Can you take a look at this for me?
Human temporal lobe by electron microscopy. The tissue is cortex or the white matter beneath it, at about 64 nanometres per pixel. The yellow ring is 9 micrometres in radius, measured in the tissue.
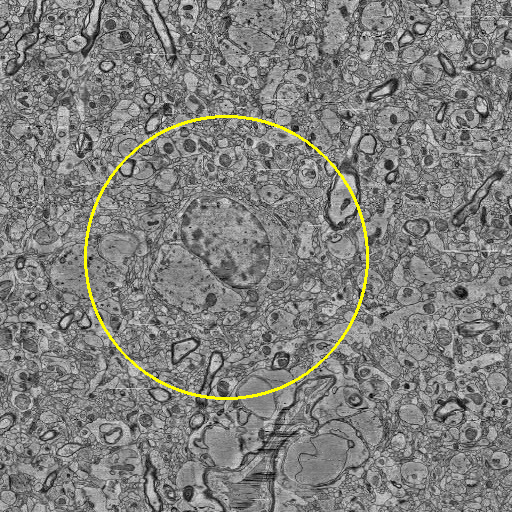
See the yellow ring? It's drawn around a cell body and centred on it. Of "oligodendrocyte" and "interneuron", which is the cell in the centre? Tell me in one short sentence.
The one in the centre is an oligodendrocyte.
